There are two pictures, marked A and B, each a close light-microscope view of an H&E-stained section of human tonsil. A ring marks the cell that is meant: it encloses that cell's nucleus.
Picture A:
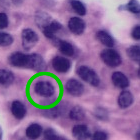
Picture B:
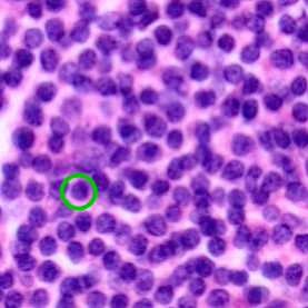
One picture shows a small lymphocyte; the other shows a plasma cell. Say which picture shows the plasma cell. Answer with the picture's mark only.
A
